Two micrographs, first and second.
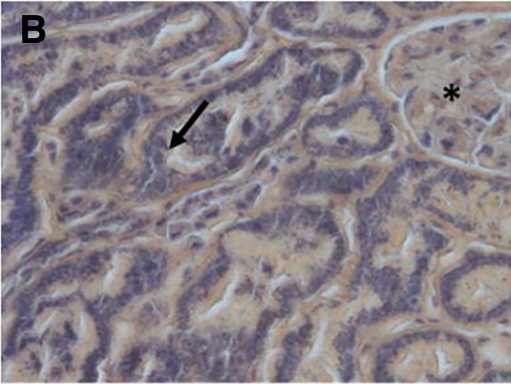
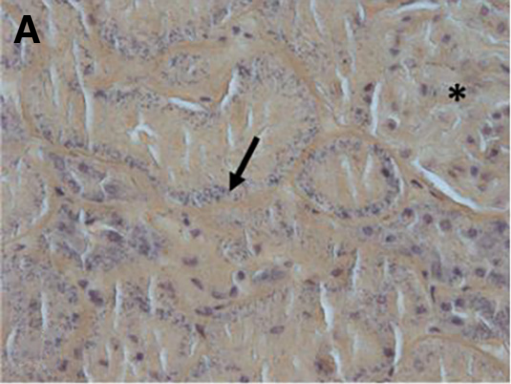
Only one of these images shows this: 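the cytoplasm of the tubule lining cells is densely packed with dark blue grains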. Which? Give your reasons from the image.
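The first image. First image: tubule walls are deep blue-purple, crowded with dense grains. Second image: tubule walls are pale tan with only scattered fine blue grains.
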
